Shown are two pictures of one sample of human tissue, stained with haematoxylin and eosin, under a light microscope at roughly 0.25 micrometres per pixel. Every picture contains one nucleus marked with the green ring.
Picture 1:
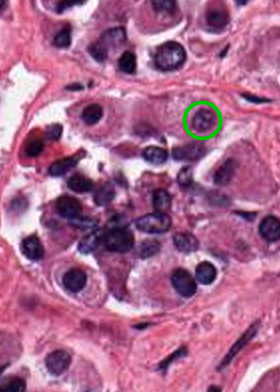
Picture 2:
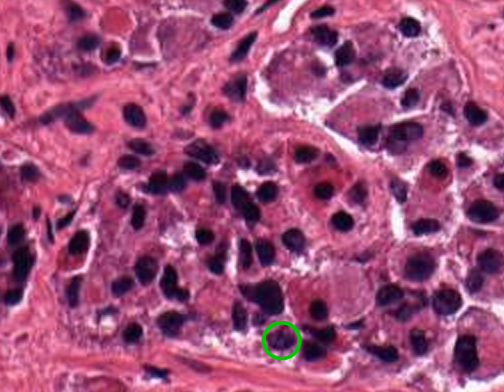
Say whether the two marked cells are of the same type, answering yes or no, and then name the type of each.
Yes, both are anterior pituitary cells.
